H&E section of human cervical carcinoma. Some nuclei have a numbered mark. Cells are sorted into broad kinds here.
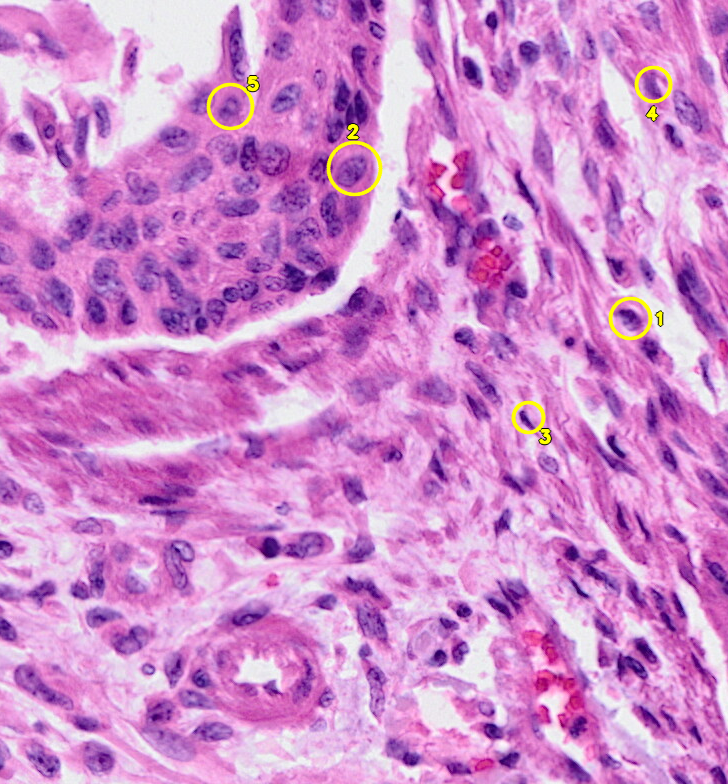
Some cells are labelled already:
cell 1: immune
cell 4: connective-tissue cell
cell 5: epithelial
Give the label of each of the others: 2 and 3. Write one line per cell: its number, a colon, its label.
2: epithelial
3: connective-tissue cell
